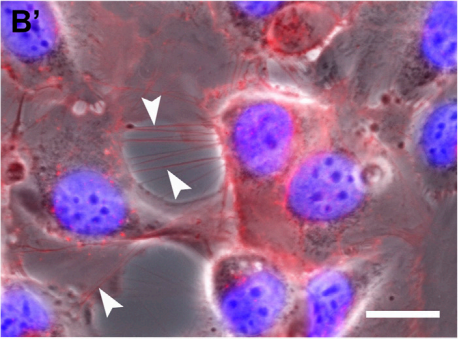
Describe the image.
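Red fluorescence outlines the cell borders and speckles the cytoplasm in small dots. Across the grey gaps between some cells run very fine, straight red threads bridging from one cell to another.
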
